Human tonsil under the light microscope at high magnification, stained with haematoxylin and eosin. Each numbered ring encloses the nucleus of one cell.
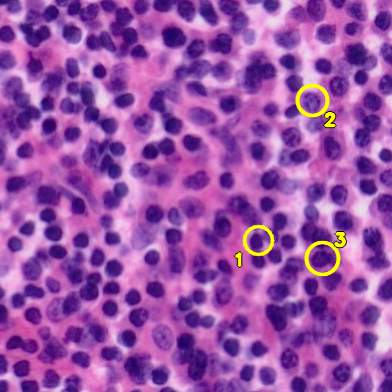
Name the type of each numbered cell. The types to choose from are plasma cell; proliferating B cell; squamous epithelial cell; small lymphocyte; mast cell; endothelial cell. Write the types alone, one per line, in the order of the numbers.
small lymphocyte
plasma cell
plasma cell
